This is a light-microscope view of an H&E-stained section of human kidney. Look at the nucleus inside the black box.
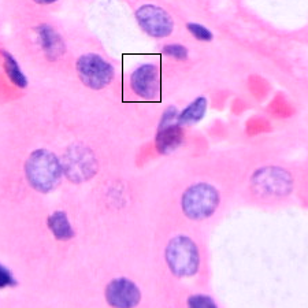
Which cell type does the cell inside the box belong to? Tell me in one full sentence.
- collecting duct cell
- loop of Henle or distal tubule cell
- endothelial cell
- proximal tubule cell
The identity of the cell inside the box: it is a loop of Henle or distal tubule cell.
